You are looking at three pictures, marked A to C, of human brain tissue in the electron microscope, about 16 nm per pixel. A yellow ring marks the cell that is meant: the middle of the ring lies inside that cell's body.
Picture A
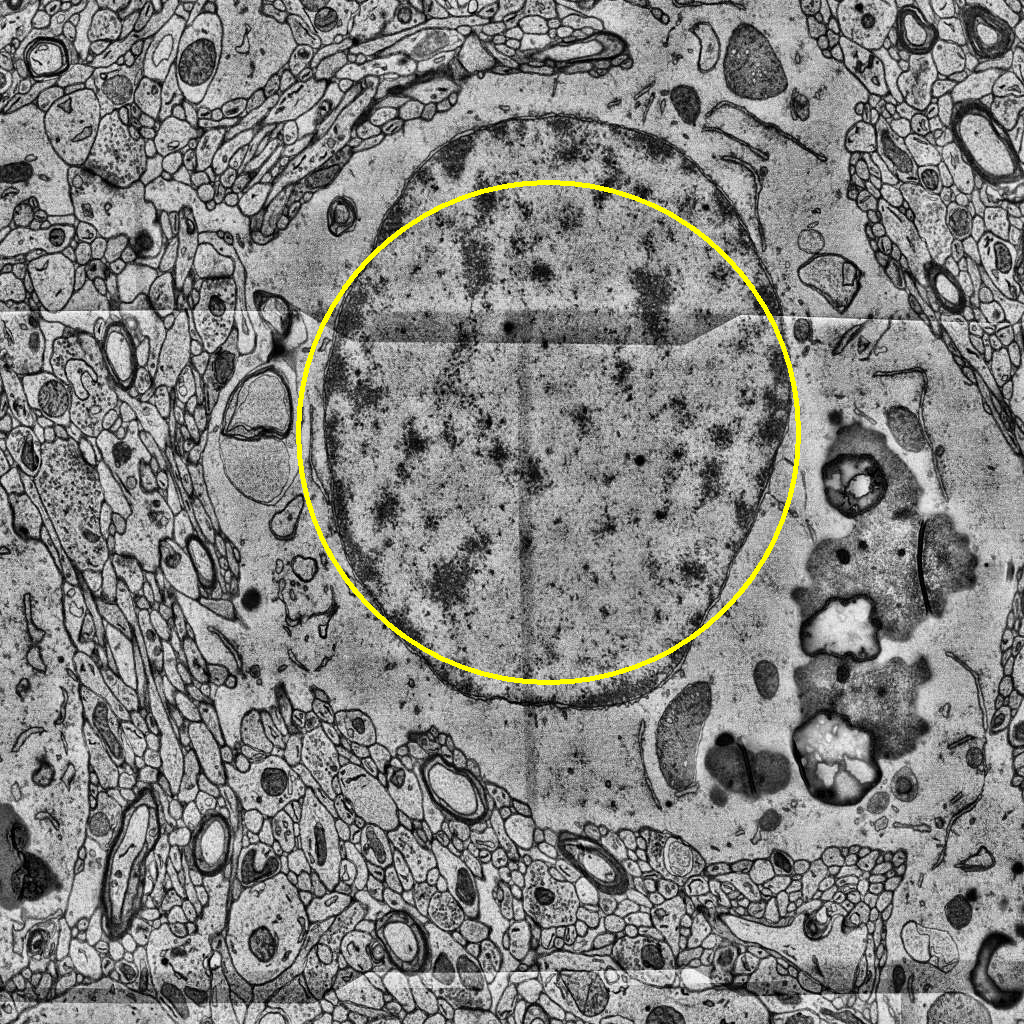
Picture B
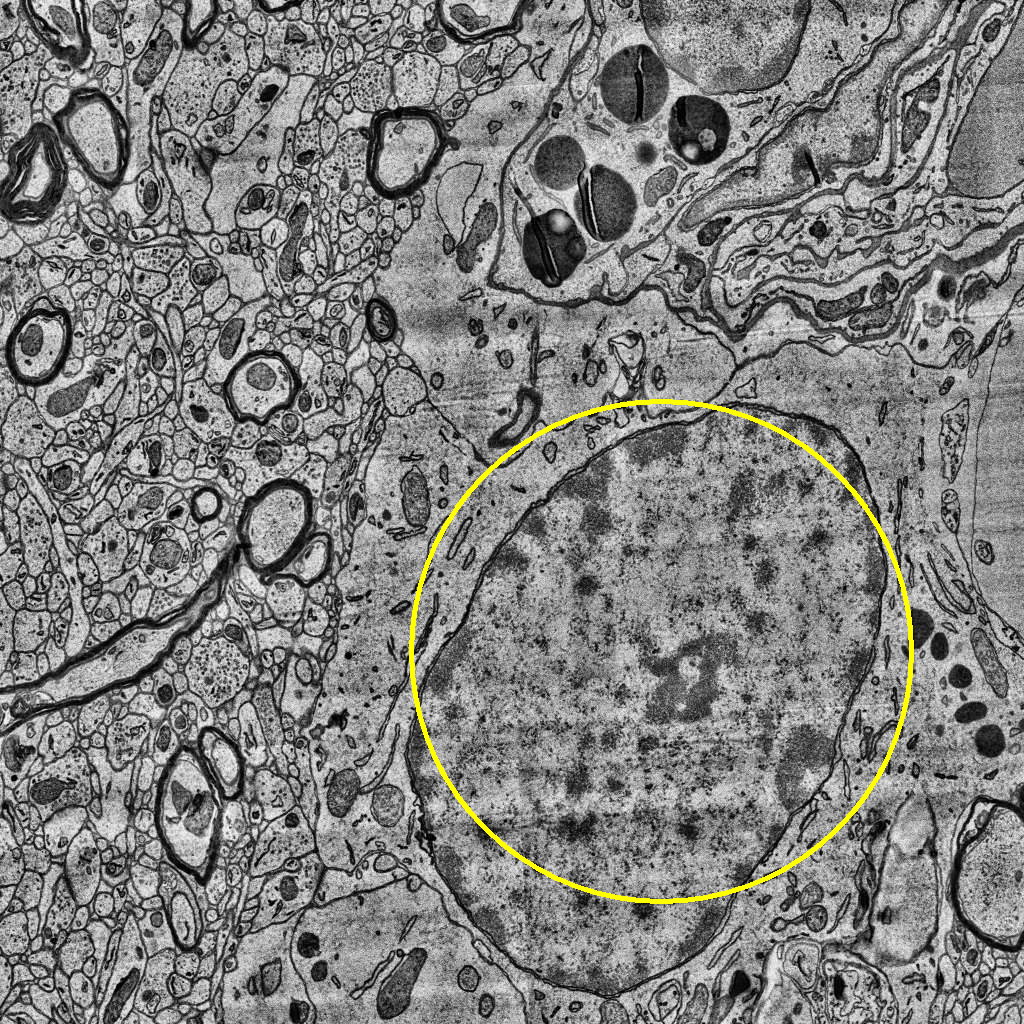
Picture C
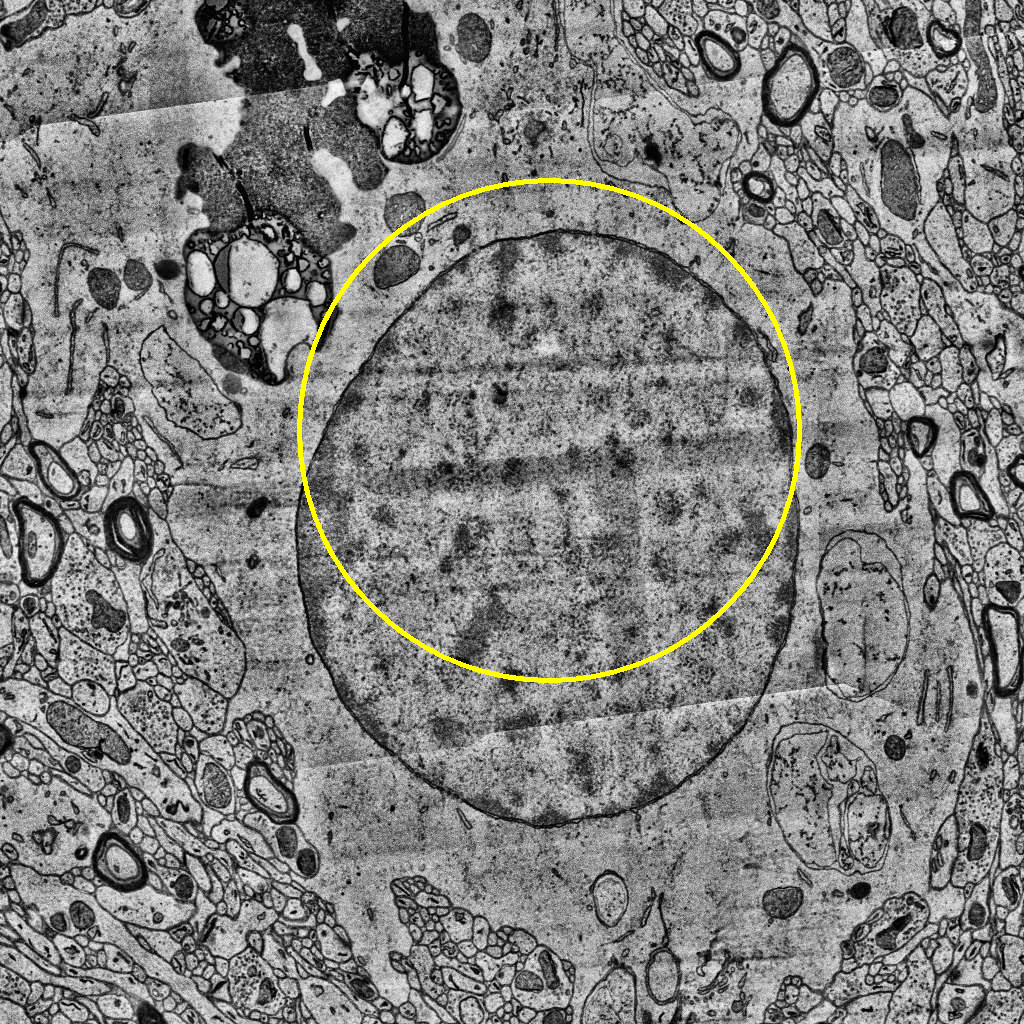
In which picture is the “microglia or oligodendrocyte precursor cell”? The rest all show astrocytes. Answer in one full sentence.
The cell in picture B is the “microglia or oligodendrocyte precursor cell”.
